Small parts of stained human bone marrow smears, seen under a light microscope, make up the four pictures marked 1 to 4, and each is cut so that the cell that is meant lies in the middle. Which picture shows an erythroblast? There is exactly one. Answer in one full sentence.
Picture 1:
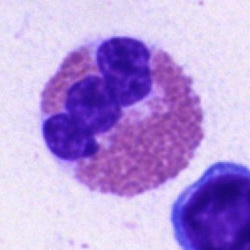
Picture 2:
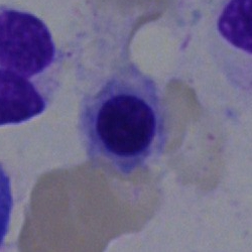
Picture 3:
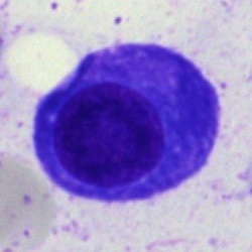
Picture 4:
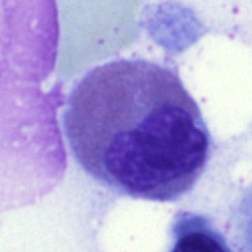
Picture 2 shows the erythroblast.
